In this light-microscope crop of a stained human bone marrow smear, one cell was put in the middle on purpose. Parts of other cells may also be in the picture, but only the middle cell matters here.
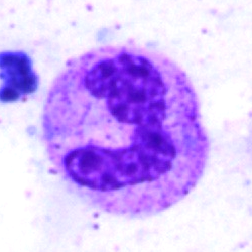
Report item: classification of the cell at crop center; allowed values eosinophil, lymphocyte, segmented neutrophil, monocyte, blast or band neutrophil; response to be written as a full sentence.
The cell at the middle of the frame should be recorded as a band neutrophil.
